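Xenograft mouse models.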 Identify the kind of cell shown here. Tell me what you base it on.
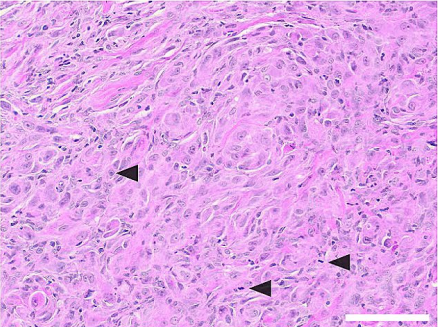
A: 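Large polygonal cells with abundant pink cytoplasm lie in solid sheets. Nuclei are enlarged and vary in size and shape. No tubules or glandular lumens are formed. So: Malignant epithelial cells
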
